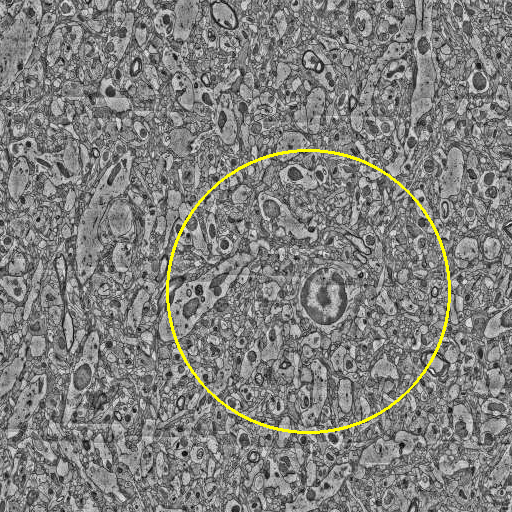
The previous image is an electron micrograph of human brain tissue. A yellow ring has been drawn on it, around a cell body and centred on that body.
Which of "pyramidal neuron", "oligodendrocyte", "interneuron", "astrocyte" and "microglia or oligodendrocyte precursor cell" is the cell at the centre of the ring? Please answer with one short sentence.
The cell body at the centre of the ring belongs to a microglial cell or oligodendrocyte precursor cell.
